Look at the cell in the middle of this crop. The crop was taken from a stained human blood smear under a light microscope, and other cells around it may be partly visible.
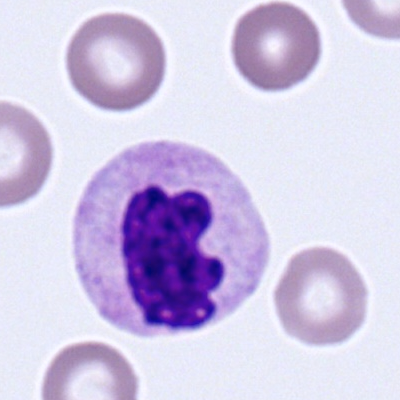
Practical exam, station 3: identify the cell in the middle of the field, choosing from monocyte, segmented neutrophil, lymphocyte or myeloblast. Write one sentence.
The cell positioned in the middle of the field is a segmented neutrophil.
